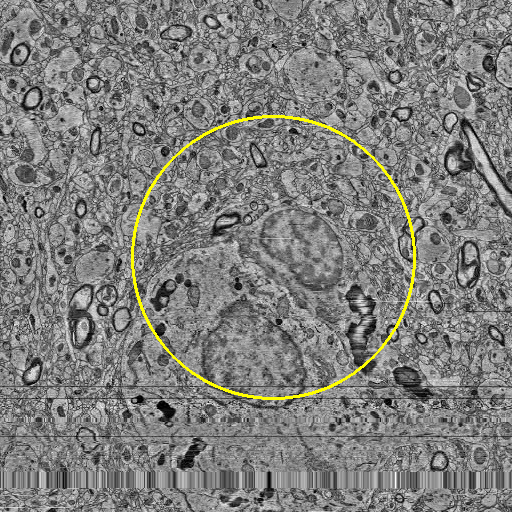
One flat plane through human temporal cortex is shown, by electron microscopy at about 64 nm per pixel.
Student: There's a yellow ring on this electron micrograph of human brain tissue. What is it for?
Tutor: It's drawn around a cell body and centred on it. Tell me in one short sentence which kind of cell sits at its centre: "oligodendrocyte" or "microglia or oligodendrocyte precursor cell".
The cell at the centre of the ring is an oligodendrocyte.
